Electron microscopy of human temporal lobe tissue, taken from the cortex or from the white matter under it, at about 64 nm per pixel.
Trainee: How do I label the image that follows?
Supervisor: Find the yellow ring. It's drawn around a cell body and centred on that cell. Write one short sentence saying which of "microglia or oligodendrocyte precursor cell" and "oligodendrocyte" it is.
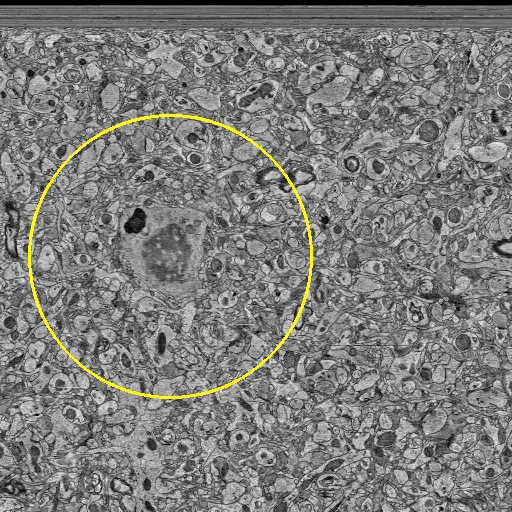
This is the cell body of an oligodendrocyte.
